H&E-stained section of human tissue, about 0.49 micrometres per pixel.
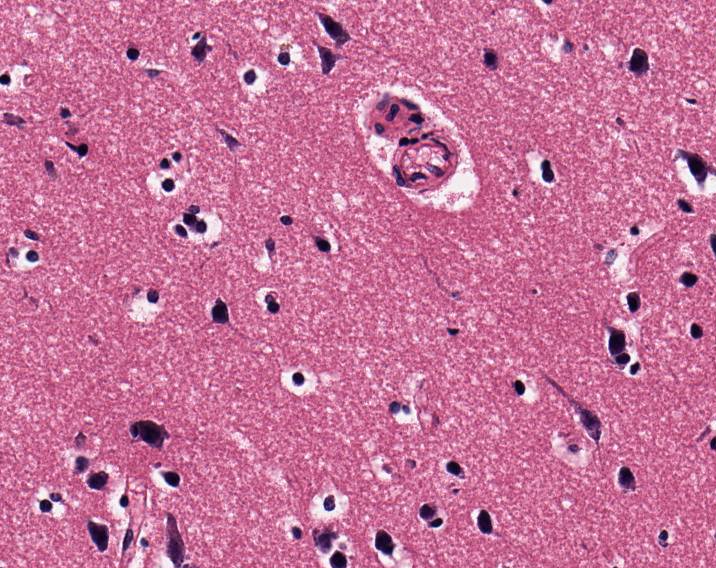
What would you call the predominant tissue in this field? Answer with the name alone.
cerebral cortex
